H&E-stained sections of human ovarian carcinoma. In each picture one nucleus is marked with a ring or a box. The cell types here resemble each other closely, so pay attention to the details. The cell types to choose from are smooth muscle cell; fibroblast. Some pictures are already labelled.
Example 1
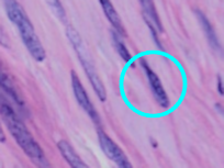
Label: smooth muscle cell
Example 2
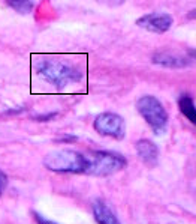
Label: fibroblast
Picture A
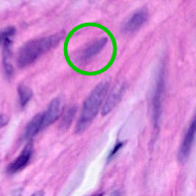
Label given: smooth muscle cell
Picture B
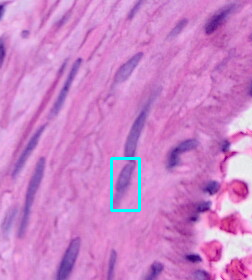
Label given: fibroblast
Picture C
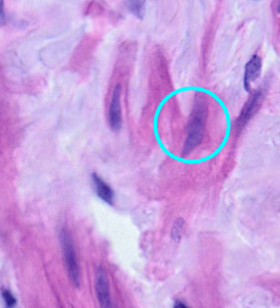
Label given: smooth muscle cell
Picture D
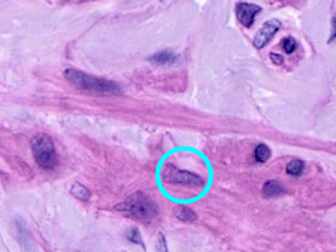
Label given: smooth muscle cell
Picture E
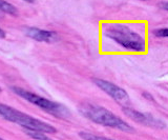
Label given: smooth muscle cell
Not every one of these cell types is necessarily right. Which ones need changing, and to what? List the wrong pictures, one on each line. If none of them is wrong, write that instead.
B should be smooth muscle cell, not fibroblast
